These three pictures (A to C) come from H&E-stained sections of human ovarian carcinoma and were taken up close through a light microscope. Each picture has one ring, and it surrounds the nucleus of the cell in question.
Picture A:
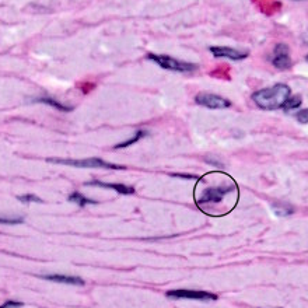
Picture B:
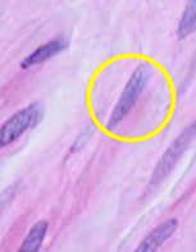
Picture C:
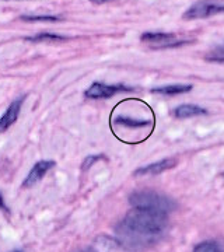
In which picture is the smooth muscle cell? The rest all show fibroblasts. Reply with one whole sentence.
The picture with the smooth muscle cell is B.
